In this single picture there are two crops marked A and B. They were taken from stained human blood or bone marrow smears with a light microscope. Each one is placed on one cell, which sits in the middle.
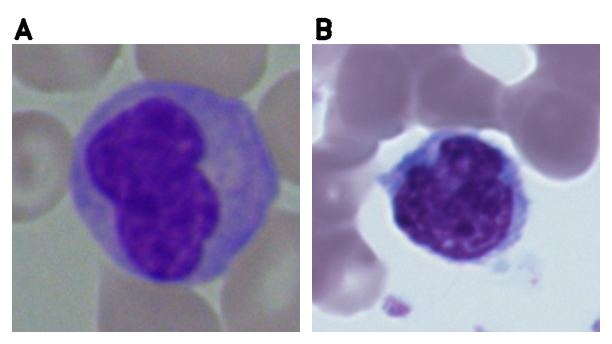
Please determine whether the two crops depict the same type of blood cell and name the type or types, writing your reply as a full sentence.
Yes, in short, both crops show monocytes.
